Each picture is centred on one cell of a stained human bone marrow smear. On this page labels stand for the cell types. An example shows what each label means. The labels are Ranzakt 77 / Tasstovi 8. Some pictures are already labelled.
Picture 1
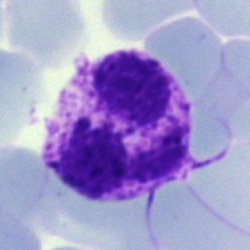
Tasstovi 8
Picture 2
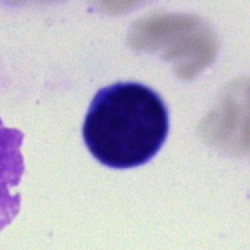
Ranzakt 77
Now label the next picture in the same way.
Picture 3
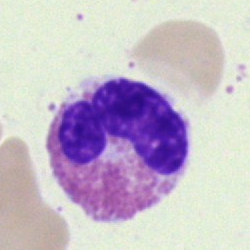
Tasstovi 8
